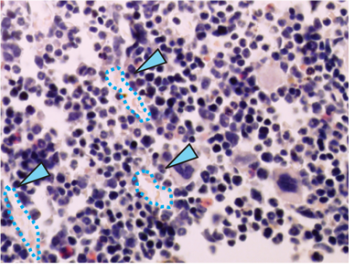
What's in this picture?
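This section of bone marrow shows densely packed blood-forming tissue. Small round cells with dark purple nuclei fill most of the field. Scattered among them are a few much larger cells with large, irregular nuclei and plentiful pale cytoplasm. Narrow, elongated endothelial sinusoids run between the cell masses.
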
